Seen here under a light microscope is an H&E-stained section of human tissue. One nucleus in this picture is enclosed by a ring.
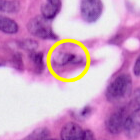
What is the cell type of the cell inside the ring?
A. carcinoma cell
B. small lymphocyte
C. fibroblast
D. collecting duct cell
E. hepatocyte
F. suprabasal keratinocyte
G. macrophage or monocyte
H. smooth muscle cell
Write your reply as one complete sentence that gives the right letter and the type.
Option G is correct in that the cell inside the ring is a macrophage or monocyte.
